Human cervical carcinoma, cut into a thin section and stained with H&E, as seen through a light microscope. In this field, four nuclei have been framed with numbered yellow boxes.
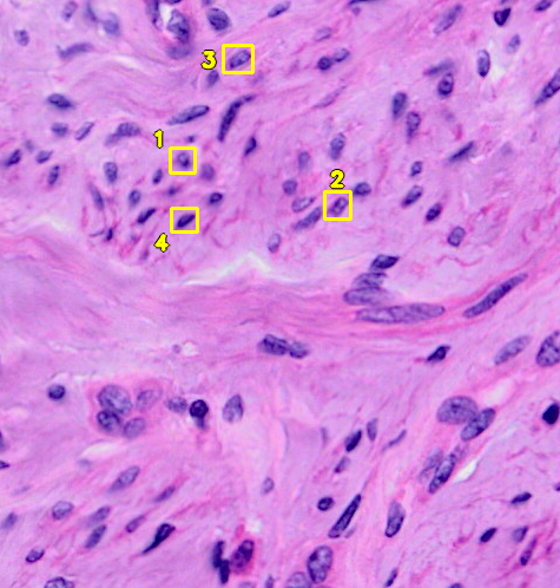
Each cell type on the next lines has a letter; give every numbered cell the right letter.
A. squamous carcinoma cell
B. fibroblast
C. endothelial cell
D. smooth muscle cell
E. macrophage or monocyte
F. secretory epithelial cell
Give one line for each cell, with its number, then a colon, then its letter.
1: D
2: D
3: D
4: B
